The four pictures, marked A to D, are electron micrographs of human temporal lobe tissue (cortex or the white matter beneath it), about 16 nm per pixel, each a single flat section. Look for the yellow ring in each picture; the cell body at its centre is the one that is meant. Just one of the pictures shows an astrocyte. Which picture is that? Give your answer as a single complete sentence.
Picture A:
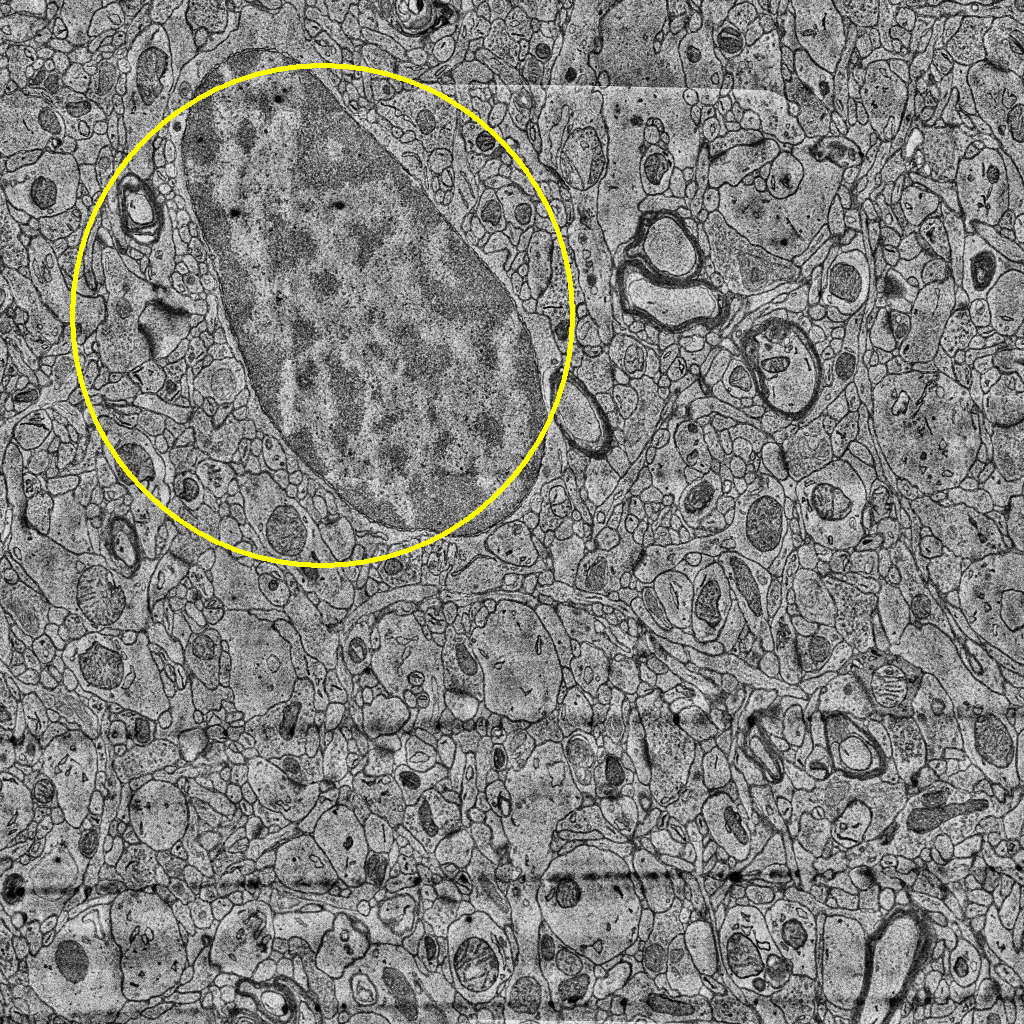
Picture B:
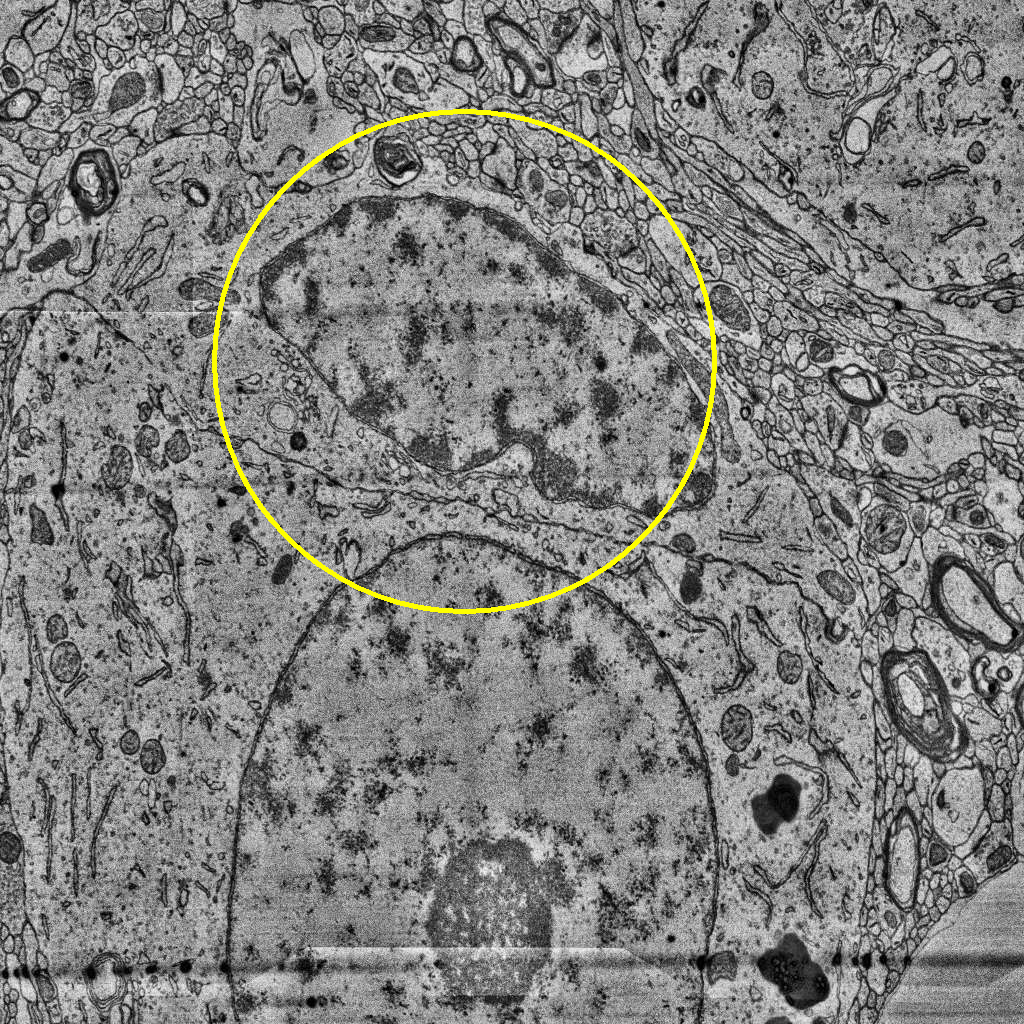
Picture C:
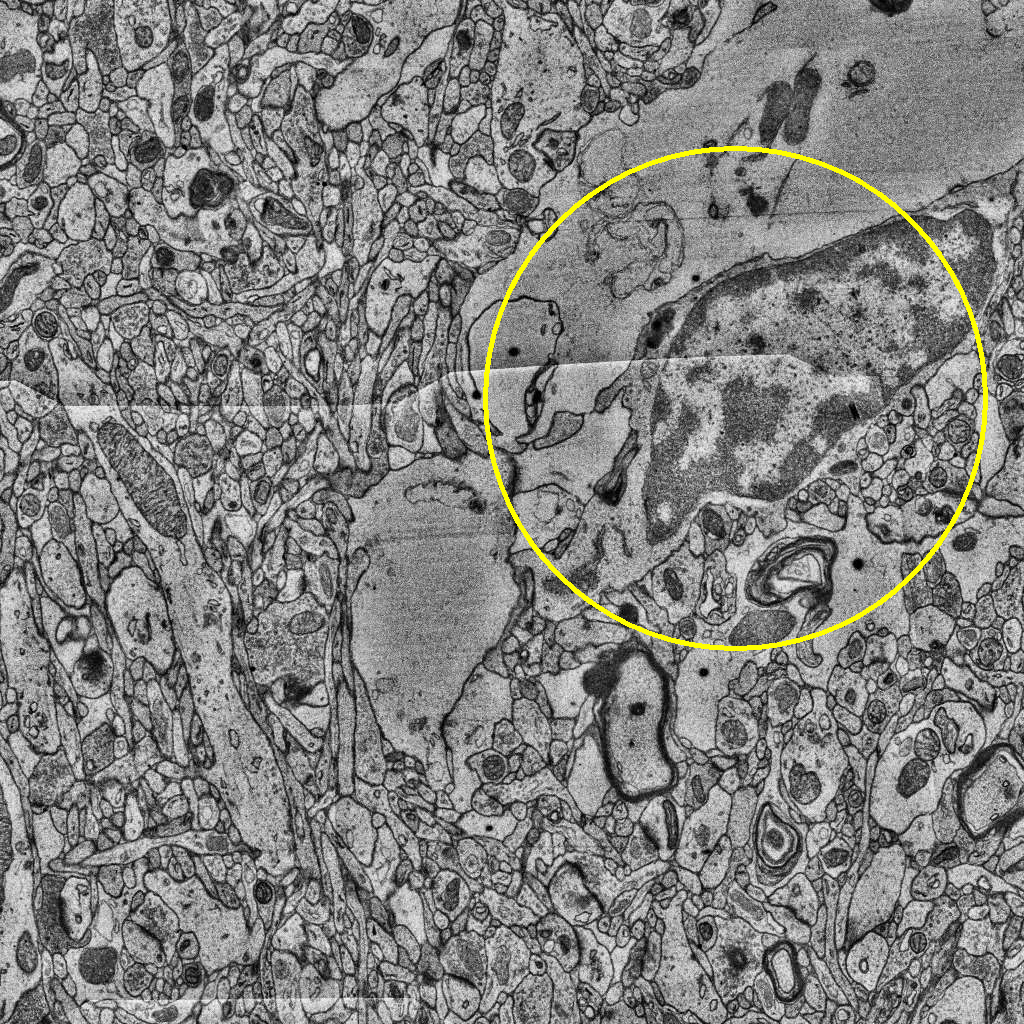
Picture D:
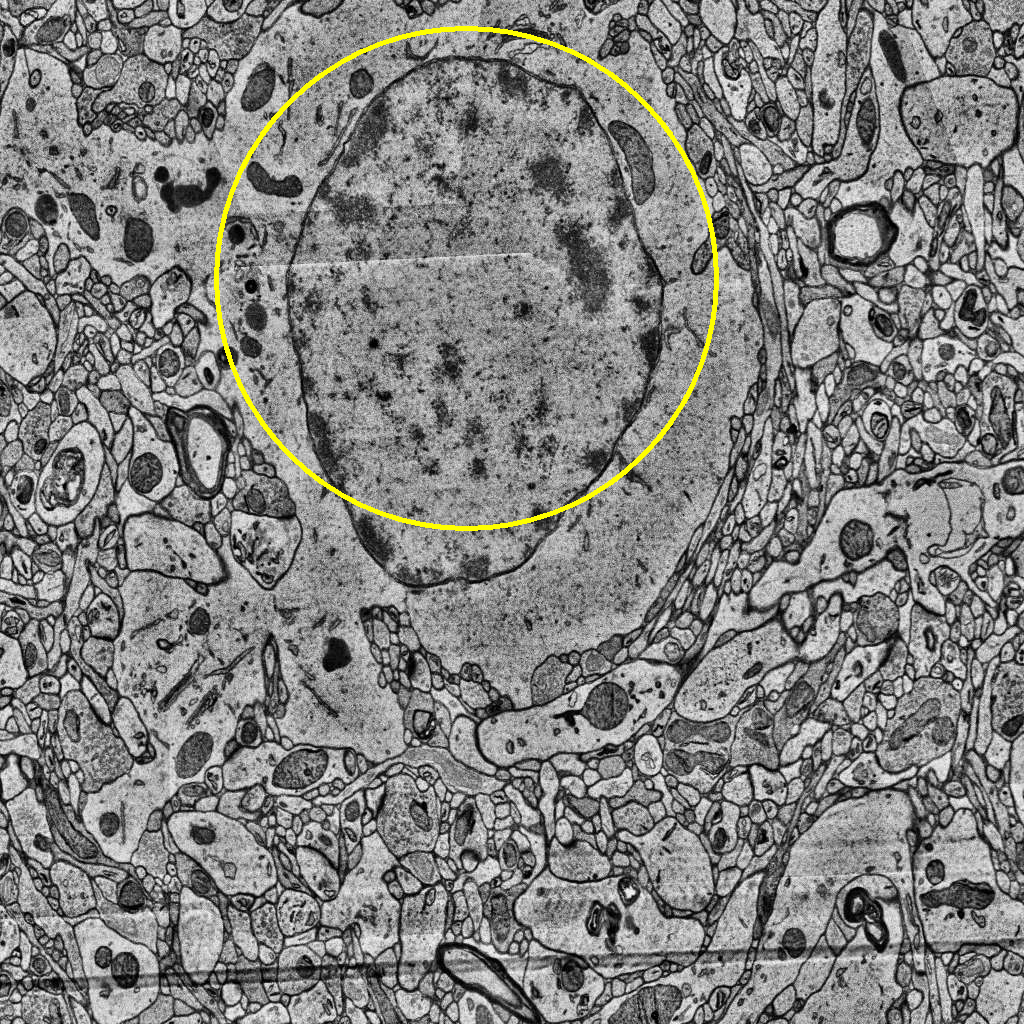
It is picture D that shows the astrocyte.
